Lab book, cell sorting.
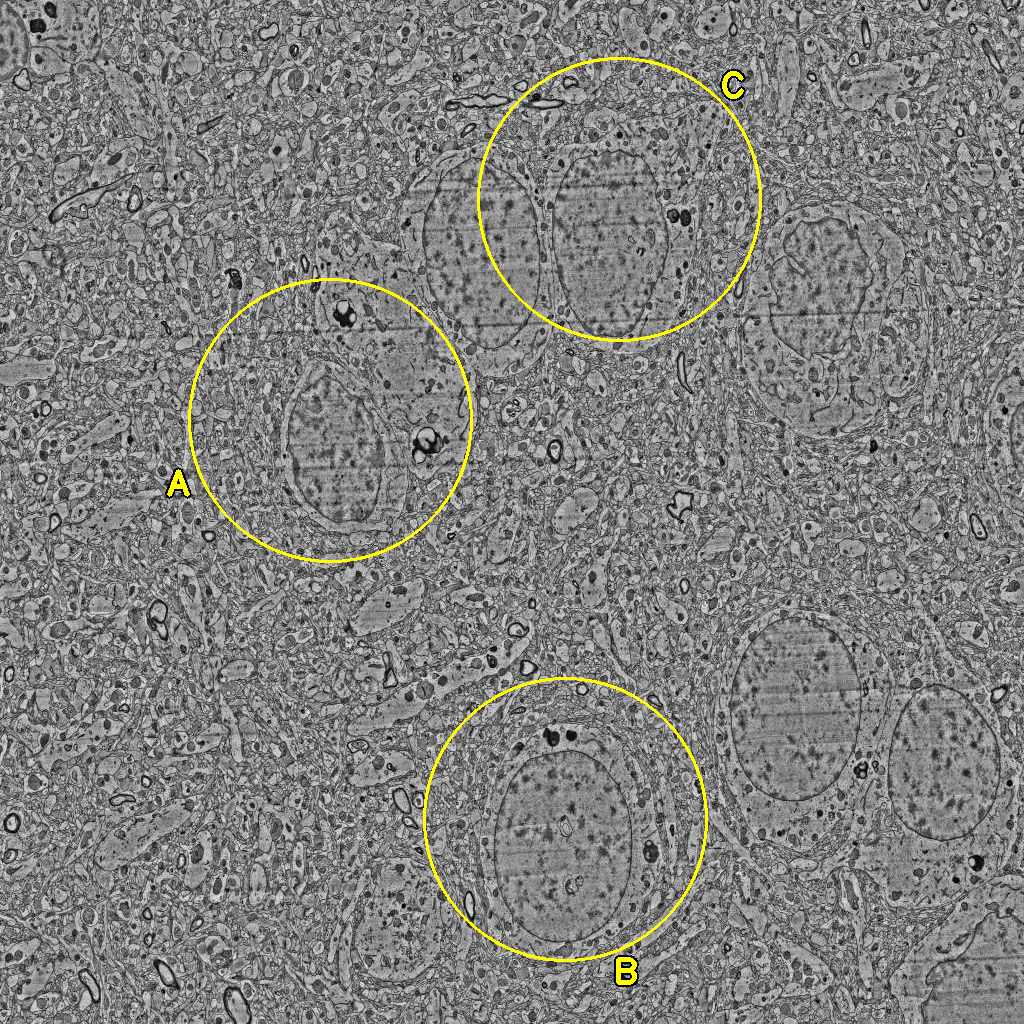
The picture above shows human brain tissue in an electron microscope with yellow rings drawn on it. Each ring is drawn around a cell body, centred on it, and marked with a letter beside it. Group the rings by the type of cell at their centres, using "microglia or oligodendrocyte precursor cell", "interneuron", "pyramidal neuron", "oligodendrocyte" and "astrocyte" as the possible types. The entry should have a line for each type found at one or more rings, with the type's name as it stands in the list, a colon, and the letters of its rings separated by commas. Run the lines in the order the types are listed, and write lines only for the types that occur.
interneuron: A
pyramidal neuron: B, C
